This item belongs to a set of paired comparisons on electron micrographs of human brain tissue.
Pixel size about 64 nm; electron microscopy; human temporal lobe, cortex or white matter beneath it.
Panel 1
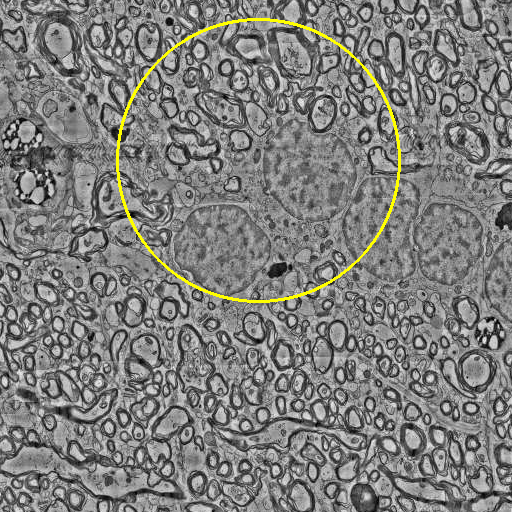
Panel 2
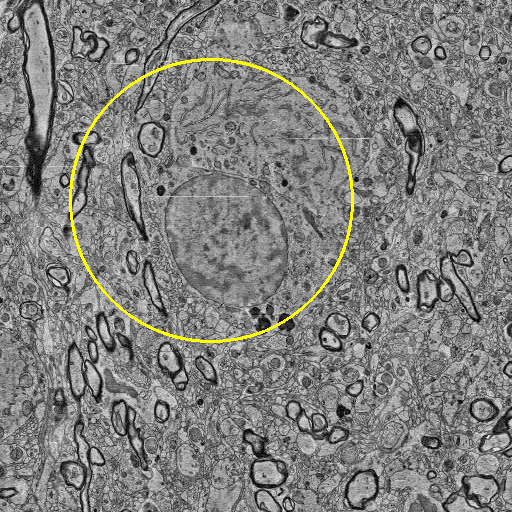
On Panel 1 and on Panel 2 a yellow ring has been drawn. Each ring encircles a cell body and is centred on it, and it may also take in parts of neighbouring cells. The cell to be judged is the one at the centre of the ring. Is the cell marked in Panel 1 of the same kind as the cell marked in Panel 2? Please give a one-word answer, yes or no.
yes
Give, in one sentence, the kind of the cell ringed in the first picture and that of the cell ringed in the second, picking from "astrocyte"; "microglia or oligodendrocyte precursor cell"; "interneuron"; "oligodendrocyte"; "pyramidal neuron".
Each one of the two ringed cells is an oligodendrocyte.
